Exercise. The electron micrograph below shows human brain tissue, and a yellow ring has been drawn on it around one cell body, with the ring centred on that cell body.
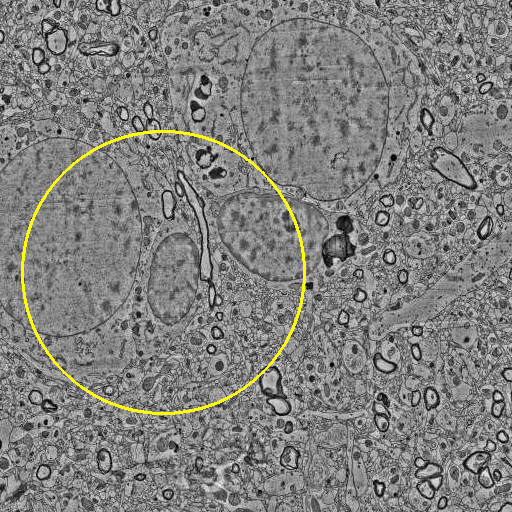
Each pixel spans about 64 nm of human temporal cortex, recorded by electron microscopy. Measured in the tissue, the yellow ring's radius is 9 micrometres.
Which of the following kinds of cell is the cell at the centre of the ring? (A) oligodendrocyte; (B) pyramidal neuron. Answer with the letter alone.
A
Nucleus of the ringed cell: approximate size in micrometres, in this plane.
In this plane the nucleus measures roughly 6 by 3 micrometers.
